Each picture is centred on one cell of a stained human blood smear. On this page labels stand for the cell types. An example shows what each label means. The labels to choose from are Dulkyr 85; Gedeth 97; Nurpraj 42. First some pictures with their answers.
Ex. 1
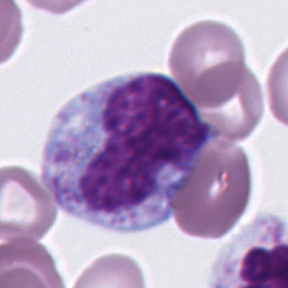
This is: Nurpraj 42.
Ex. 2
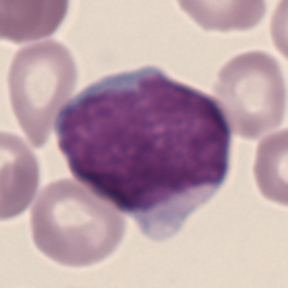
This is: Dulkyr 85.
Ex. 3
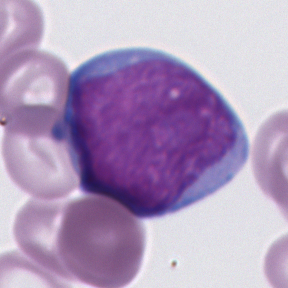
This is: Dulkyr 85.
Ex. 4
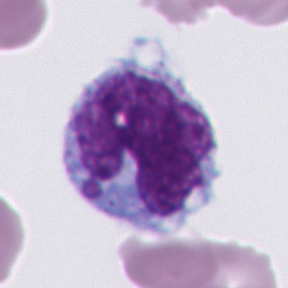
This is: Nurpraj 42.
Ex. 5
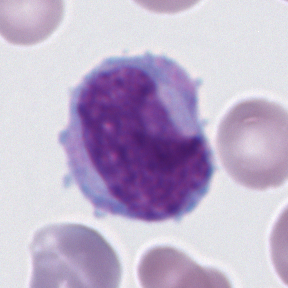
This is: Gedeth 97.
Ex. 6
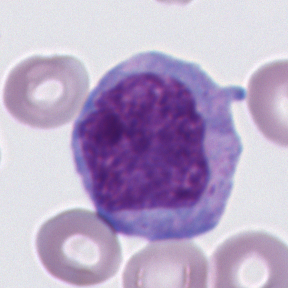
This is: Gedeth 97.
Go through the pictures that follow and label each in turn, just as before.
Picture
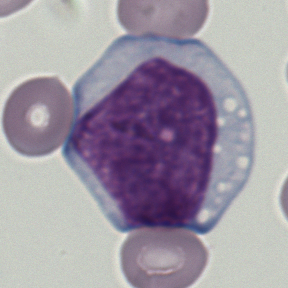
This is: Dulkyr 85.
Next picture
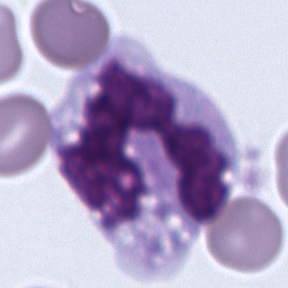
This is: Nurpraj 42.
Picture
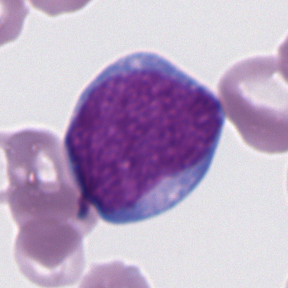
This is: Dulkyr 85.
